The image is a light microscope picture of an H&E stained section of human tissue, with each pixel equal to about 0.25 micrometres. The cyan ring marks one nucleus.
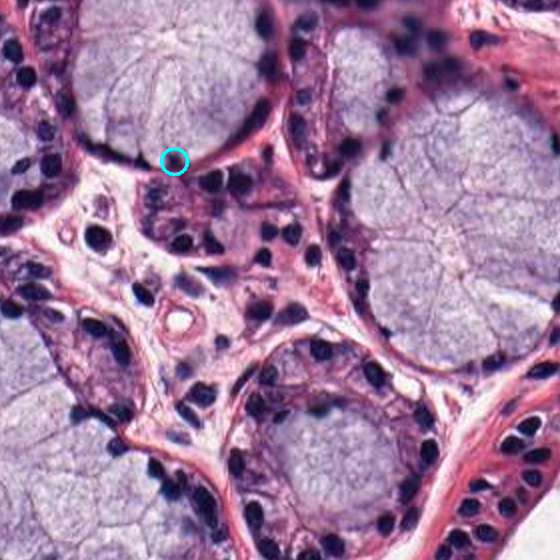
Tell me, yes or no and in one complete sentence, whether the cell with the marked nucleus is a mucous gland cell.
Yes, the marked nucleus is held by a mucous gland cell.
